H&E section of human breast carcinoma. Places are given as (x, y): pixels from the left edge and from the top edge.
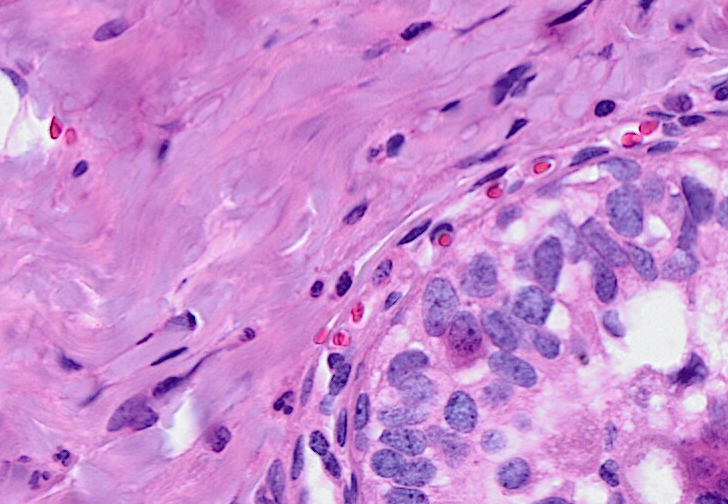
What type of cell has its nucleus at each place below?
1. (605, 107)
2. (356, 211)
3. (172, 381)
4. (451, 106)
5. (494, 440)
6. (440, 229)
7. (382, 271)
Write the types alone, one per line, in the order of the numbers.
mast cell
fibroblast
fibroblast
fibroblast
carcinoma cell
endothelial cell
mast cell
